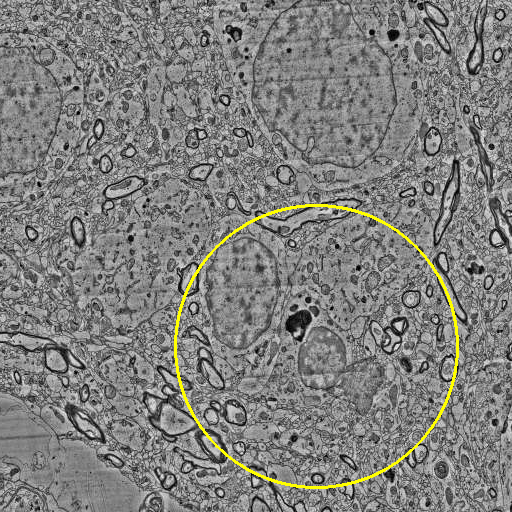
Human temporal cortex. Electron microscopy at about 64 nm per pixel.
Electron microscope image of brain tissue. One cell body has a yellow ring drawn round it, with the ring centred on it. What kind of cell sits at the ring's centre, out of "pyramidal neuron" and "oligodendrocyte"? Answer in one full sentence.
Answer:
It is an oligodendrocyte whose cell body sits at the centre of the yellow ring.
